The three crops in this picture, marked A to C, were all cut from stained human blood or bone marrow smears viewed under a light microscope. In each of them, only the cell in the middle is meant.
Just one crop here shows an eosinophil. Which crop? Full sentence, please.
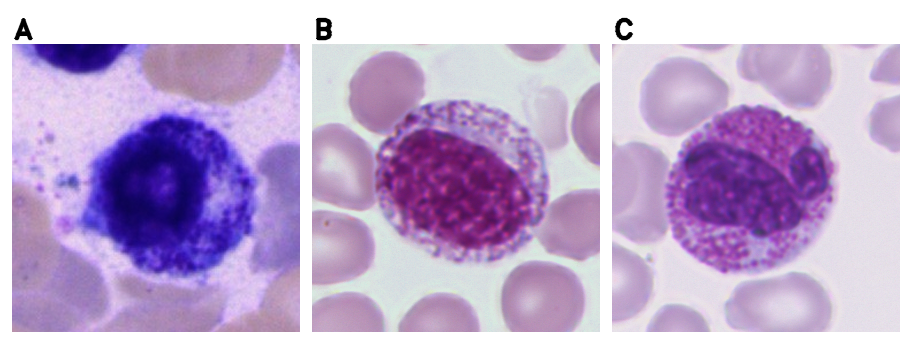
Within this set, crop C is the one with an eosinophil at its center.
